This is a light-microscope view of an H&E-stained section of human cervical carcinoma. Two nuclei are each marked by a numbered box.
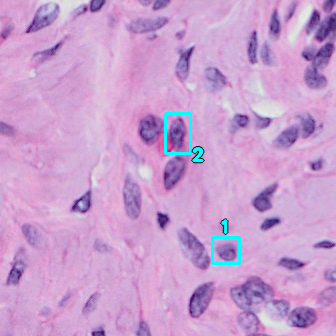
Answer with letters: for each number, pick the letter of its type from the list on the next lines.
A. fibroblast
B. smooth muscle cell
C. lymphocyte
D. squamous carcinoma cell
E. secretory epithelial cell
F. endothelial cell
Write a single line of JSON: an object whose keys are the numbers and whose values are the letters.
{"1": "A", "2": "F"}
